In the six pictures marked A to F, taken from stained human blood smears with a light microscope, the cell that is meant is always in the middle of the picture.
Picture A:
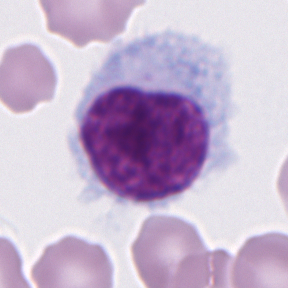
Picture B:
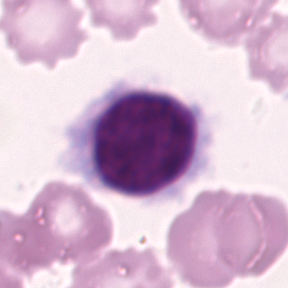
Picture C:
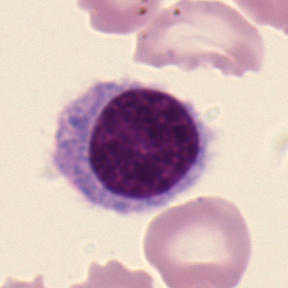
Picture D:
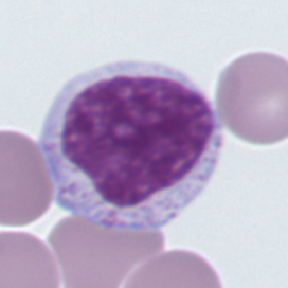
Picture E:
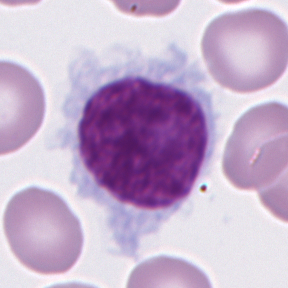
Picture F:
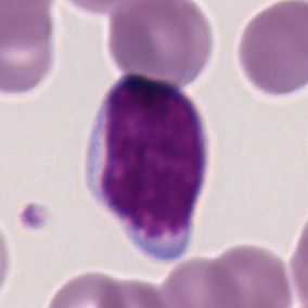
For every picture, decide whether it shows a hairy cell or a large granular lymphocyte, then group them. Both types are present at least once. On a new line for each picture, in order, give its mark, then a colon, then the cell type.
A: hairy cell
B: hairy cell
C: hairy cell
D: large granular lymphocyte
E: hairy cell
F: large granular lymphocyte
